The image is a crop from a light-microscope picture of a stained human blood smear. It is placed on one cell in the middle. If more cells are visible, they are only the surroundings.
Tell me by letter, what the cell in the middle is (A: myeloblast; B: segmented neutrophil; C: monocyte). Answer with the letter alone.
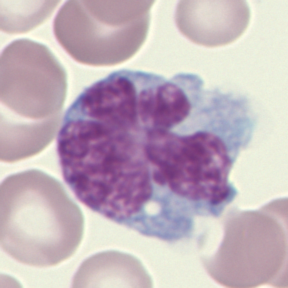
A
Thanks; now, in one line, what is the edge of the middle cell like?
Irregular rather than smooth, the cell margin shows ragged areas or projections.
